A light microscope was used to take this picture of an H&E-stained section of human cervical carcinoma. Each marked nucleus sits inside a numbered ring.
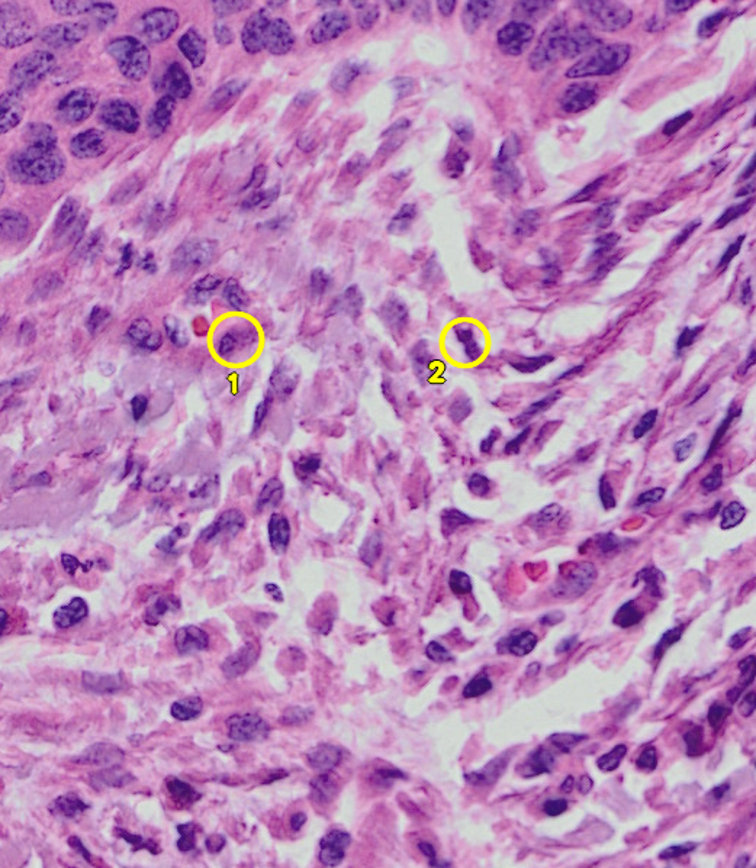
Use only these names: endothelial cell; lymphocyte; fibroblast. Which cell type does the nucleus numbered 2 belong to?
fibroblast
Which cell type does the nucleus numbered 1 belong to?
endothelial cell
